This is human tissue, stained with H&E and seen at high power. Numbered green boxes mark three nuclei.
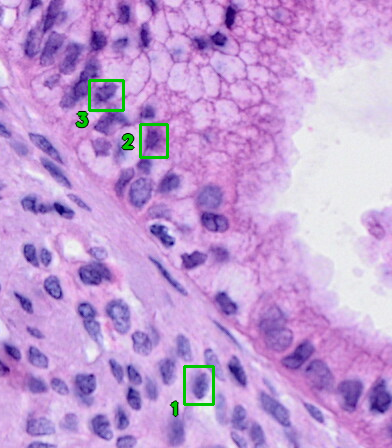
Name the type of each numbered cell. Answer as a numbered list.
1. fibroblast
2. secretory epithelial cell
3. secretory epithelial cell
